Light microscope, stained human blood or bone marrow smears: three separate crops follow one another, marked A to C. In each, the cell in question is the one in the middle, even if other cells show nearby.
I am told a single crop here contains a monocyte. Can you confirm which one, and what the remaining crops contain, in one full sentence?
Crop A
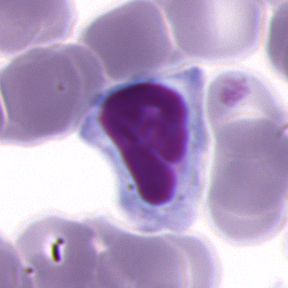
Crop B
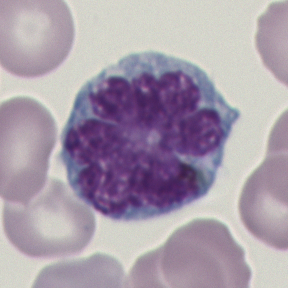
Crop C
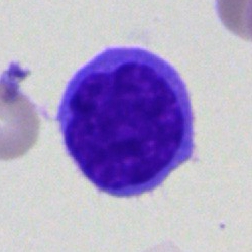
Crop B is showing a monocyte, while crop A is a lymphocyte and crop C is a blast.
